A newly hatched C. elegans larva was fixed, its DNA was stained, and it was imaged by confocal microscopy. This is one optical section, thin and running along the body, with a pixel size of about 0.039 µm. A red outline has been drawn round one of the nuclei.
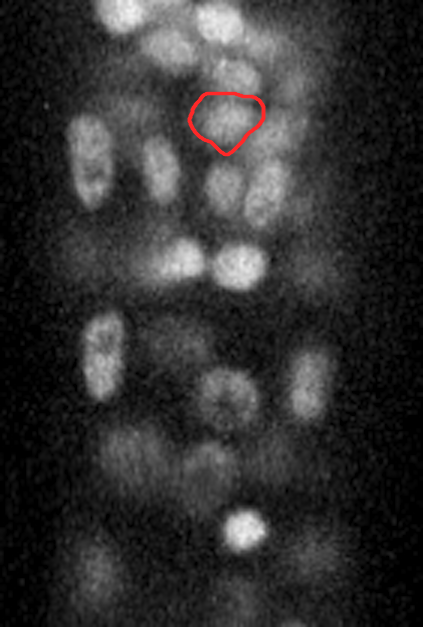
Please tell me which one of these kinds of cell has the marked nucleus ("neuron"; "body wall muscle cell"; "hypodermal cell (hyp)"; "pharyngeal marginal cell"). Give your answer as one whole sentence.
This is the nucleus of a neuron.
